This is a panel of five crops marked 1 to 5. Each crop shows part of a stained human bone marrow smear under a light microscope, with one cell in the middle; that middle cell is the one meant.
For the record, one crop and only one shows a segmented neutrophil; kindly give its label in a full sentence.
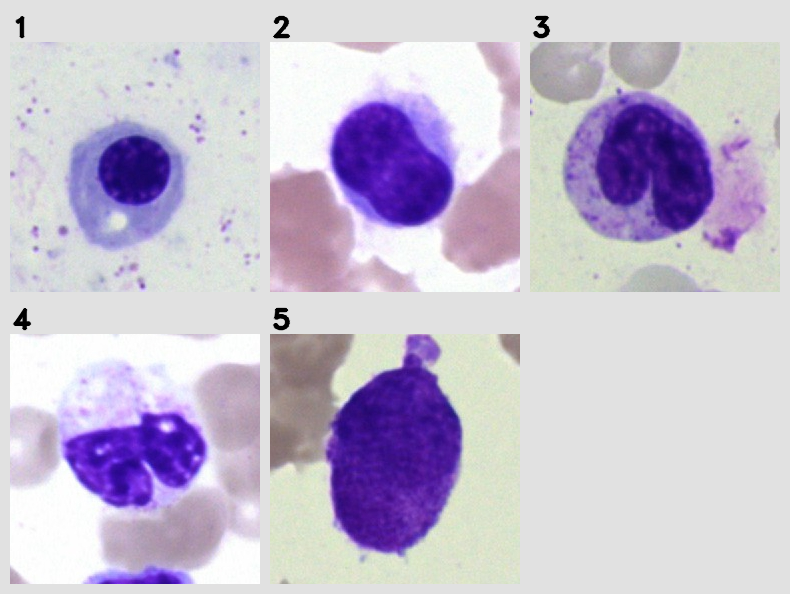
Of these crops, it is crop 4 that shows a segmented neutrophil.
